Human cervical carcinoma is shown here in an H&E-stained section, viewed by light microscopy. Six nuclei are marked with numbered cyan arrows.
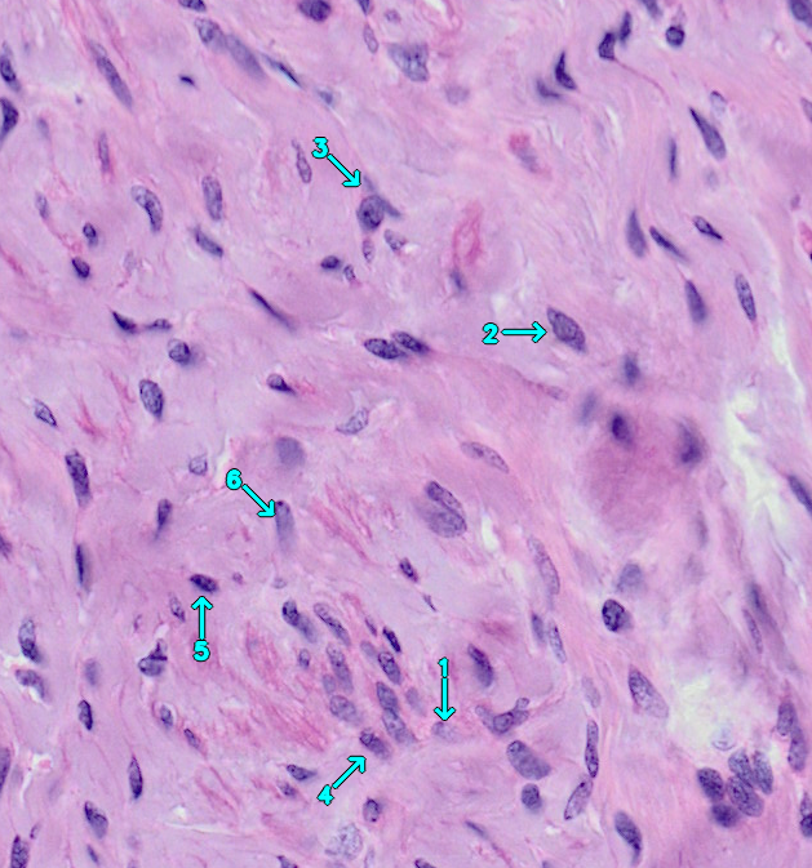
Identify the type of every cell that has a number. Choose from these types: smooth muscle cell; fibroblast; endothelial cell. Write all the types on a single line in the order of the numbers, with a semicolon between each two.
smooth muscle cell; fibroblast; fibroblast; smooth muscle cell; fibroblast; fibroblast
